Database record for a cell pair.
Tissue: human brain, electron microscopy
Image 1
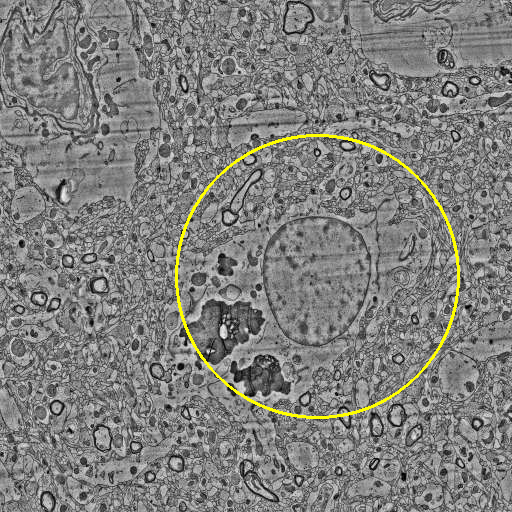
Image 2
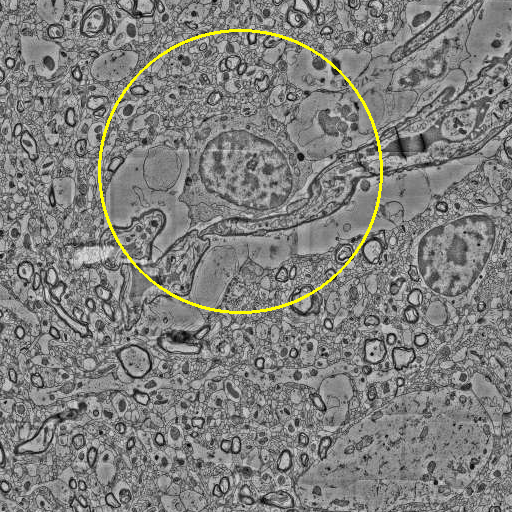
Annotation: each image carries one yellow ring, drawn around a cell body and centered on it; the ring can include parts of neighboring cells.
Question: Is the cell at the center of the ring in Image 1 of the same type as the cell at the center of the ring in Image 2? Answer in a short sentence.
No, the cells are of two types.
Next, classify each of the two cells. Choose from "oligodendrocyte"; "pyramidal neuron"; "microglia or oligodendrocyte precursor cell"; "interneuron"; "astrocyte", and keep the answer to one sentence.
In the first picture it is an astrocyte; in the second it is an oligodendrocyte.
